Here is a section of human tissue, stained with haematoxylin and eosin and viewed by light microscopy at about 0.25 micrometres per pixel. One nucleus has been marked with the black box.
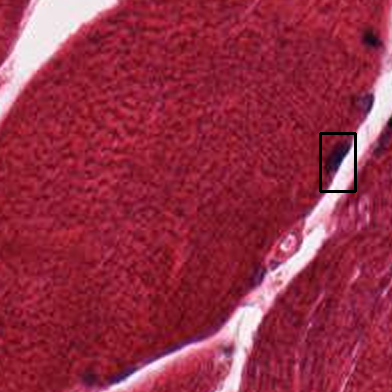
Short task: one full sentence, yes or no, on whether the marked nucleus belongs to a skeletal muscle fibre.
Yes, within this field the marked nucleus is that of a skeletal muscle fibre.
